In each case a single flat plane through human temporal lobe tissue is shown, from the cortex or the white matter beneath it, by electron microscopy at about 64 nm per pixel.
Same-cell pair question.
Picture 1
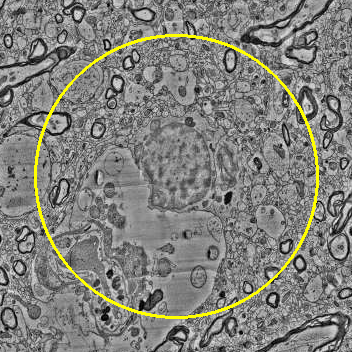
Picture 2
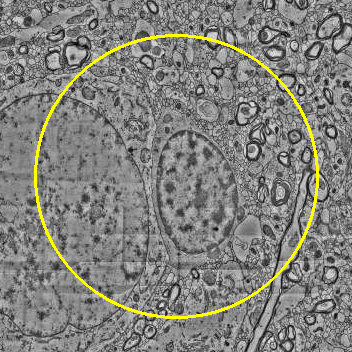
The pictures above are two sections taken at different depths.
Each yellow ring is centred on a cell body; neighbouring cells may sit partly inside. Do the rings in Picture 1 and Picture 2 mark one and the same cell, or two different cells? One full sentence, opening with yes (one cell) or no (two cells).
No, the rings do not mark the same cell.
